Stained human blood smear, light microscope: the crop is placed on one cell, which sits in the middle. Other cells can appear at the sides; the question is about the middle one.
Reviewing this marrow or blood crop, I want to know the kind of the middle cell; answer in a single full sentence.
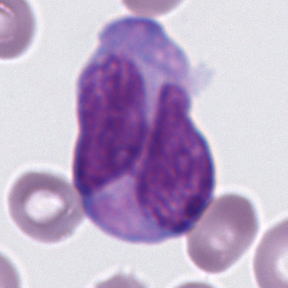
On this slide crop, the central cell is an atypical promyelocyte.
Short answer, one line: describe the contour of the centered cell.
Instead of a smooth edge, this cell has an irregular one, ragged or with projections.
